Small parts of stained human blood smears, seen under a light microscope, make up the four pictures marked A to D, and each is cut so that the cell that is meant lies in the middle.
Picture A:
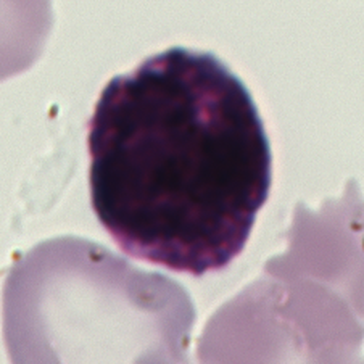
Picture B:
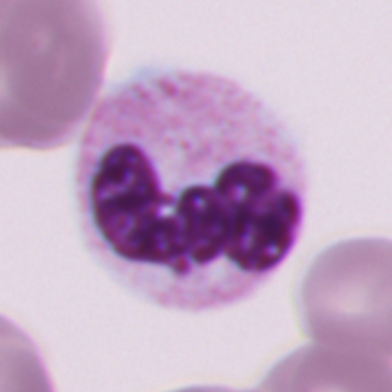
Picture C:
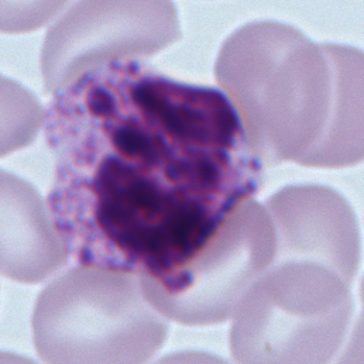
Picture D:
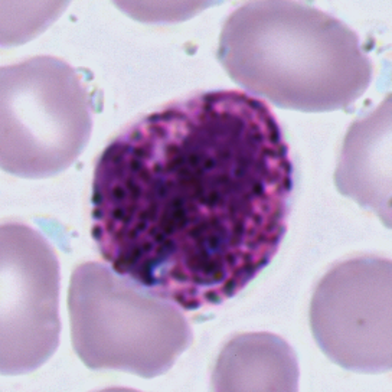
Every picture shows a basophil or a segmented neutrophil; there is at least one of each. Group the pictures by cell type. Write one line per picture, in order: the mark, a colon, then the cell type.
A: basophil
B: segmented neutrophil
C: basophil
D: basophil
